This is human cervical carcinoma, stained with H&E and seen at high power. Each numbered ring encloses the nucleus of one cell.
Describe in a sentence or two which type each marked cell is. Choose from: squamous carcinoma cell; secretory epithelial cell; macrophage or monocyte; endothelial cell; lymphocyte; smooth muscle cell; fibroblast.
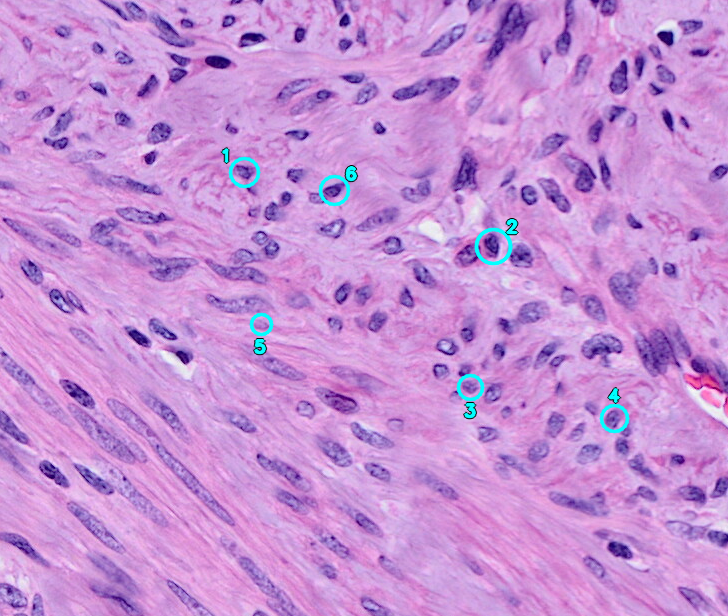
Cell 1 is a smooth muscle cell, cell 2 is a lymphocyte, cell 3 is a smooth muscle cell, cell 4 is a smooth muscle cell, cell 5 is a smooth muscle cell and cell 6 is a fibroblast.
